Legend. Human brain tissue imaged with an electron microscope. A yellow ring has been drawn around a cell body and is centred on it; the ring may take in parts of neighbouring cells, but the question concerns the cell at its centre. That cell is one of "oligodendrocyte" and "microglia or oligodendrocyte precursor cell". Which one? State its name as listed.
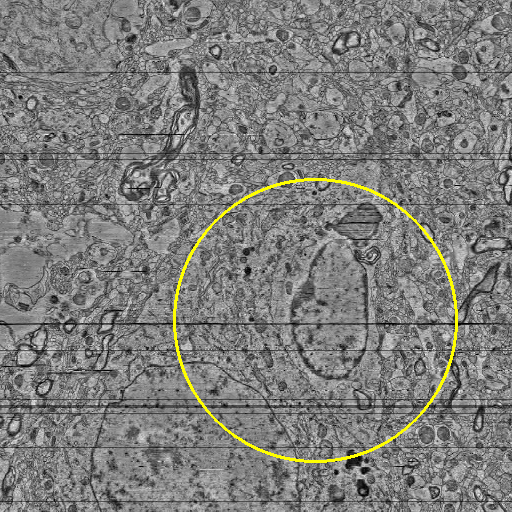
microglia or oligodendrocyte precursor cell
